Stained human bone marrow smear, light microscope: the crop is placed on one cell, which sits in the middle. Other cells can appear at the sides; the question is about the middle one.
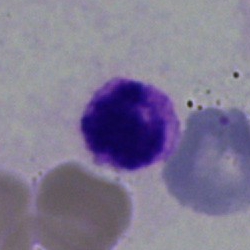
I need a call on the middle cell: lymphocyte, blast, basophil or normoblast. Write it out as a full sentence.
This crop has a basophil at its centre.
